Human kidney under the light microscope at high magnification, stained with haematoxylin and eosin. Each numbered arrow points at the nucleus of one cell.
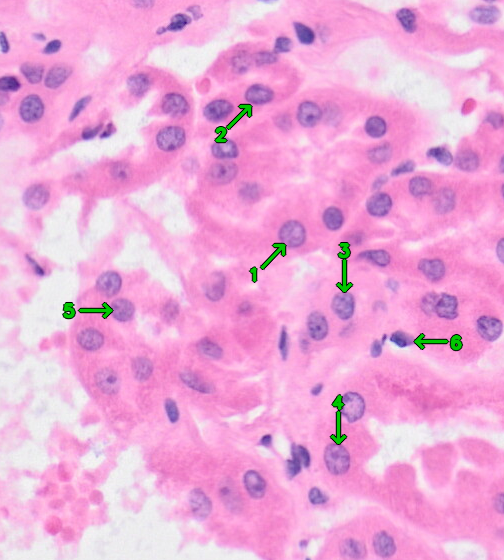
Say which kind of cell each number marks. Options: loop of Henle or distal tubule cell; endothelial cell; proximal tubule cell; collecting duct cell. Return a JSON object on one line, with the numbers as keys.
{"1": "proximal tubule cell", "2": "proximal tubule cell", "3": "collecting duct cell", "4": "proximal tubule cell", "5": "proximal tubule cell", "6": "endothelial cell"}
